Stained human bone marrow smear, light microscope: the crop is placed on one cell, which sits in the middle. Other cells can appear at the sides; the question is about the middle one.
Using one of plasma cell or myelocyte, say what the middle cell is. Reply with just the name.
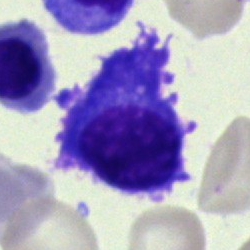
plasma cell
